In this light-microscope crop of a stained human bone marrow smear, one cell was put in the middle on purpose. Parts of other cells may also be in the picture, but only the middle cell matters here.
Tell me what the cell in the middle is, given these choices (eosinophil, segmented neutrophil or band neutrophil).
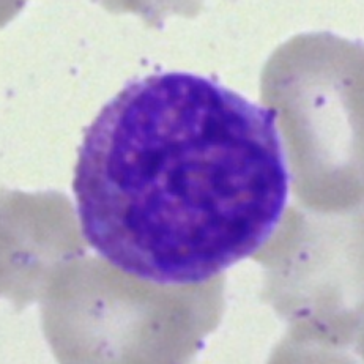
eosinophil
